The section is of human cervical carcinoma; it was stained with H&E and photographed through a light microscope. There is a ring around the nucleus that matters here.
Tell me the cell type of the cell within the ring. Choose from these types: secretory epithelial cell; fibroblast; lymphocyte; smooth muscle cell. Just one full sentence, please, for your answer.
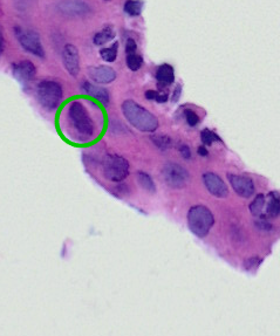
Microscopically, the cell within the ring is categorized as a secretory epithelial cell.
